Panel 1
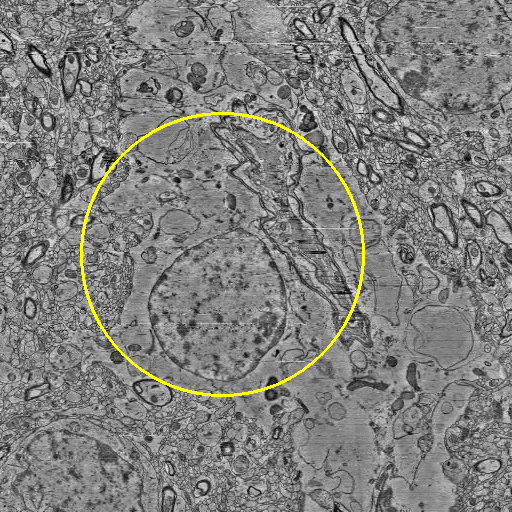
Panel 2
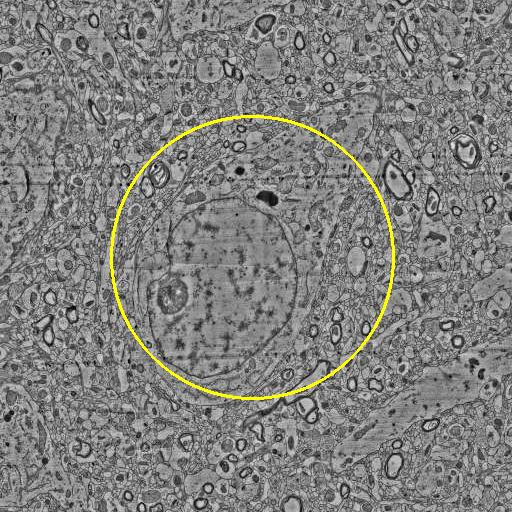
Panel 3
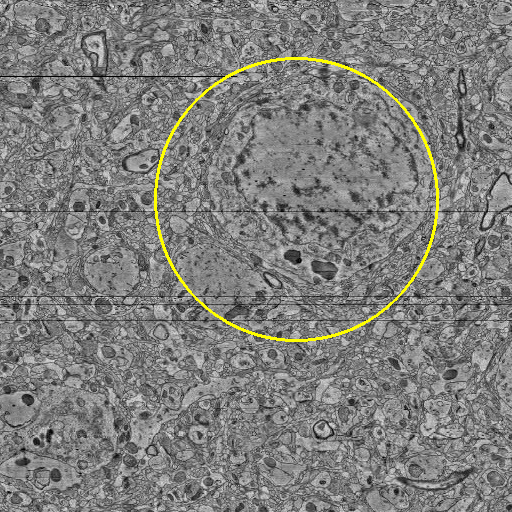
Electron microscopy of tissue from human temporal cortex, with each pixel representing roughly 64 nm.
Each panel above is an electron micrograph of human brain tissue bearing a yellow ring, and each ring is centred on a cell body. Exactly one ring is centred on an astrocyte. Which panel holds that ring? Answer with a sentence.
That ring is in Panel 1.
